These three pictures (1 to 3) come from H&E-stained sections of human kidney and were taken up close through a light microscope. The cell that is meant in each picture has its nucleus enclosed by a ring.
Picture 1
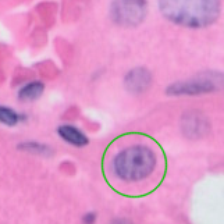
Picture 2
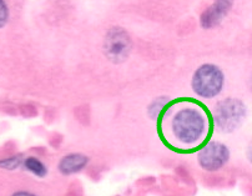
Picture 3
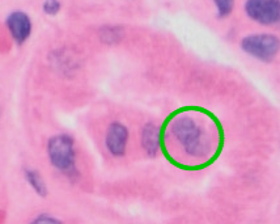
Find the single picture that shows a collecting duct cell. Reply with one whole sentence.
The collecting duct cell is the one in picture 2.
